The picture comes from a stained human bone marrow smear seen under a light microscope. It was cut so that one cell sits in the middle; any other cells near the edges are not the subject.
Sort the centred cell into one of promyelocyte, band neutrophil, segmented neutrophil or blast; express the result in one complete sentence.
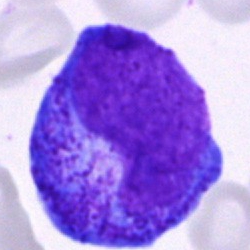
The cell of interest, located centrally, is a promyelocyte.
